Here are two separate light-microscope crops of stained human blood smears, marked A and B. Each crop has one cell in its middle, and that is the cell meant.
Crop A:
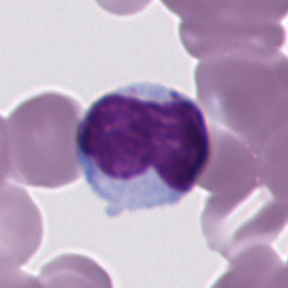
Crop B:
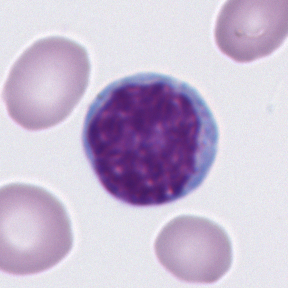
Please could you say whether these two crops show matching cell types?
no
